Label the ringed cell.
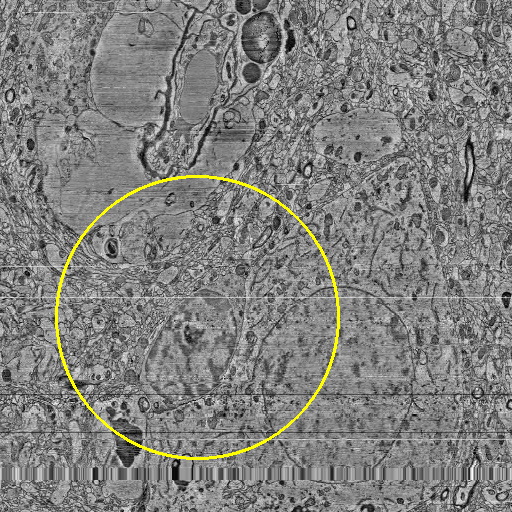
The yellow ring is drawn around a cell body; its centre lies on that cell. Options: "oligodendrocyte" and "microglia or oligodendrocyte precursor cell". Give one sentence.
The ringed cell is an oligodendrocyte.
